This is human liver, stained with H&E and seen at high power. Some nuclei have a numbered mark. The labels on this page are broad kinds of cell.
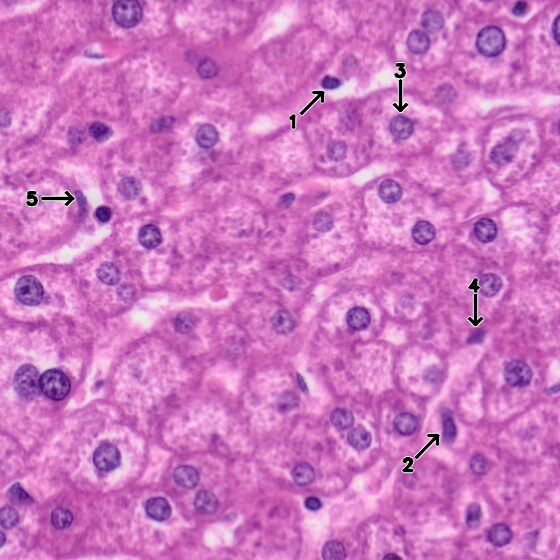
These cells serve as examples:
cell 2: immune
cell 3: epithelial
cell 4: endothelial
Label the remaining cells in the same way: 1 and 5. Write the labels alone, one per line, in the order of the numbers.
immune
immune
